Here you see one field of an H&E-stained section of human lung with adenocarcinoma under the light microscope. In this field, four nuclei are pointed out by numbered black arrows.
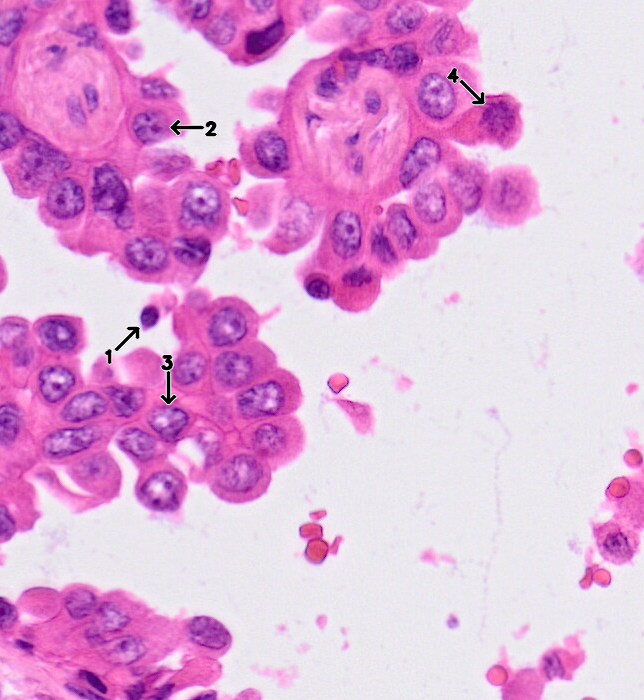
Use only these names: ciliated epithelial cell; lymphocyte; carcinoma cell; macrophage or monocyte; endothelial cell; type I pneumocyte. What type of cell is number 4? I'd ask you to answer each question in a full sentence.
Recognised here as a carcinoma cell is the cell numbered 4.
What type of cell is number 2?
What the number 2 marks in this field is a carcinoma cell.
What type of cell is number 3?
Numbered cell 3 is a carcinoma cell in this tissue section.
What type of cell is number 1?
Numbered cell 1 is a lymphocyte in this tissue section.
